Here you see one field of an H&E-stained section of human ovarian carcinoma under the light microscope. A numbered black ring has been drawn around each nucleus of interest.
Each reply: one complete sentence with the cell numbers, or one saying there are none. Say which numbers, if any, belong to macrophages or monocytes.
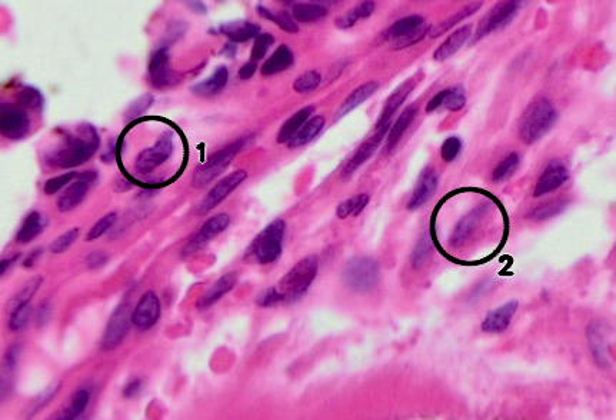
A single numbered cell, cell 1, is a macrophage or monocyte.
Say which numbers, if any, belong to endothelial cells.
Any endothelial cells present in the section are not among the numbered cells.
